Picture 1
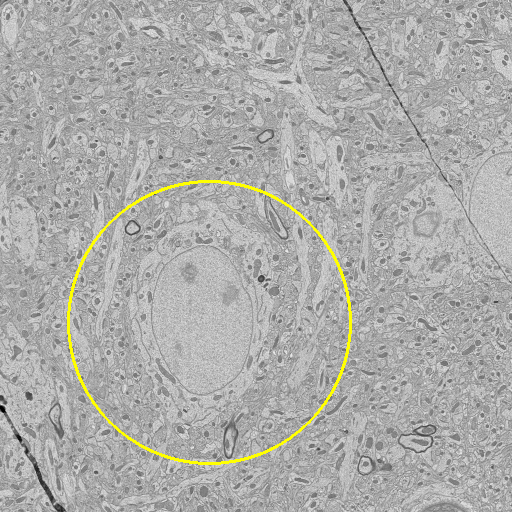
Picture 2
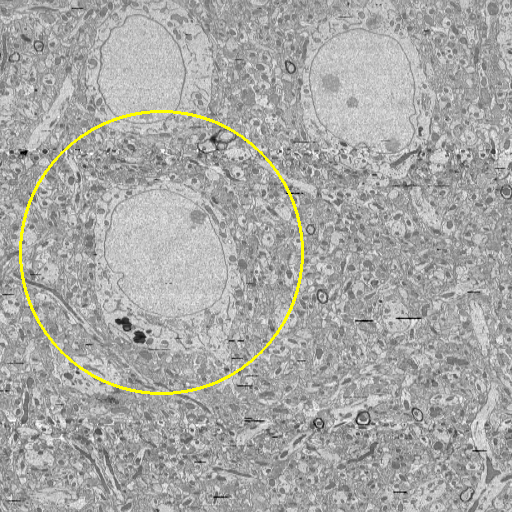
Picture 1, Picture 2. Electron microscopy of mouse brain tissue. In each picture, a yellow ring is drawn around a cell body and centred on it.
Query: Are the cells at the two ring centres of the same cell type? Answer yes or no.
yes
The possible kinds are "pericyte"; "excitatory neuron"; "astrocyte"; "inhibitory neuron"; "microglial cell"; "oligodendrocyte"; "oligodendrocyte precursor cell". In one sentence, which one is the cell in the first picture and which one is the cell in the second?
Both pictures show an excitatory neuron at the centre of the ring.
